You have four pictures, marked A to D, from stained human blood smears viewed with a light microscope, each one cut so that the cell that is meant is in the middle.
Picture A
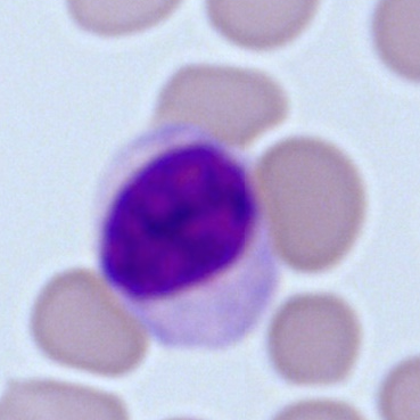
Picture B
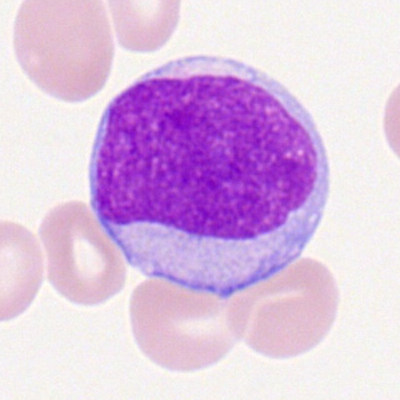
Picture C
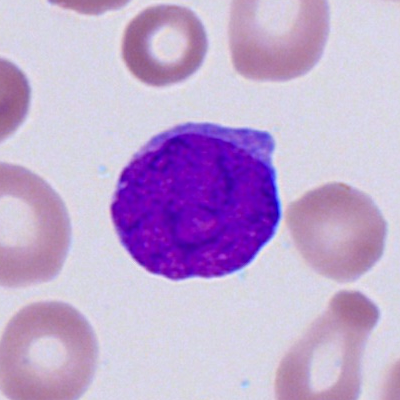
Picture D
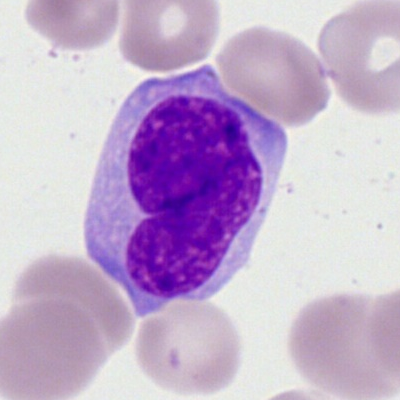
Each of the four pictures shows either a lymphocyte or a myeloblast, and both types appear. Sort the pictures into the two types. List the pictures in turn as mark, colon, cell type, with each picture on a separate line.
A: lymphocyte
B: myeloblast
C: myeloblast
D: myeloblast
